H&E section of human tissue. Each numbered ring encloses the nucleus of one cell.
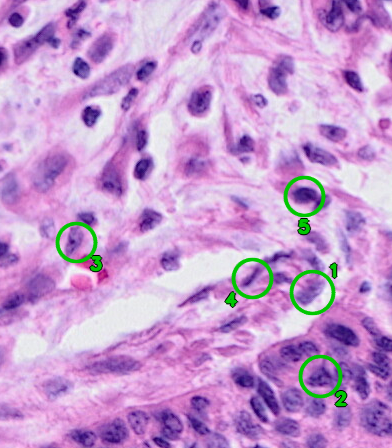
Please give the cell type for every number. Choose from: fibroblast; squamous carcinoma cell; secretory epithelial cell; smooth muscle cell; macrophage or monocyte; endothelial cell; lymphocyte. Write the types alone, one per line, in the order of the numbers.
fibroblast
squamous carcinoma cell
endothelial cell
fibroblast
lymphocyte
